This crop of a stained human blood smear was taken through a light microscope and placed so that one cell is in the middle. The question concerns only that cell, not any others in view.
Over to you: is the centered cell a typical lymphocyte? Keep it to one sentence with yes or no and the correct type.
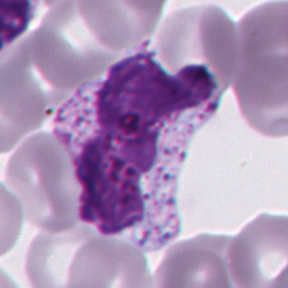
No, the centred cell is a basophil, and it is not a typical lymphocyte.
